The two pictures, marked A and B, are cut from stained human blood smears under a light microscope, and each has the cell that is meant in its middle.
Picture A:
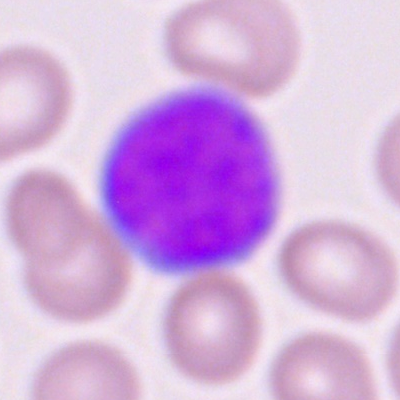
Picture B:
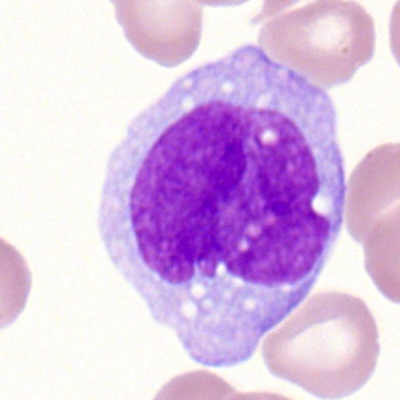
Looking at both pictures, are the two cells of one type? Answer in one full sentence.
No, they differ: the cell is a myeloblast in picture A and a monocyte in picture B.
